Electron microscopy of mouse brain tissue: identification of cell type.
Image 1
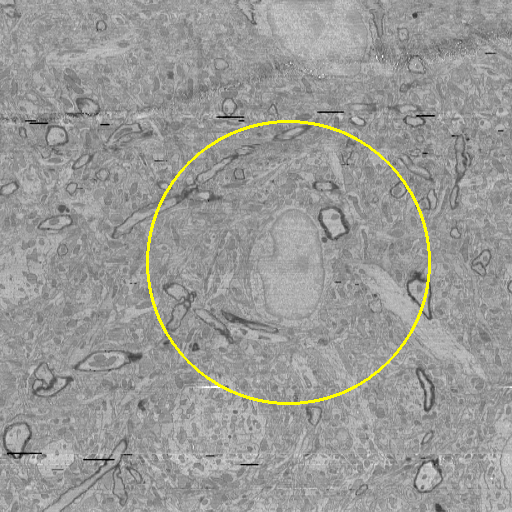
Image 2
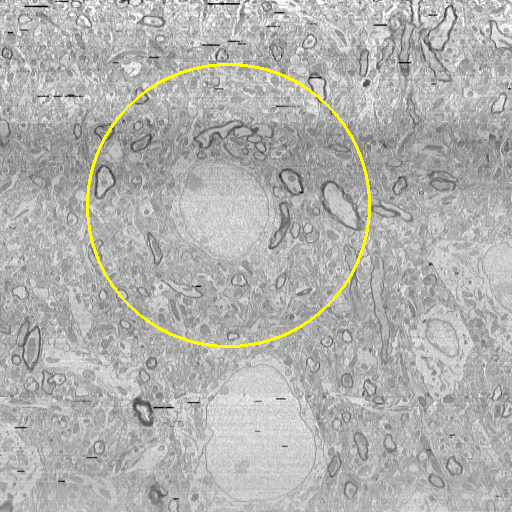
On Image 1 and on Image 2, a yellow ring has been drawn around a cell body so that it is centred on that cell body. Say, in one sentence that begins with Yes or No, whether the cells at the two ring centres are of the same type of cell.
Yes, both cells are the same type of cell.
